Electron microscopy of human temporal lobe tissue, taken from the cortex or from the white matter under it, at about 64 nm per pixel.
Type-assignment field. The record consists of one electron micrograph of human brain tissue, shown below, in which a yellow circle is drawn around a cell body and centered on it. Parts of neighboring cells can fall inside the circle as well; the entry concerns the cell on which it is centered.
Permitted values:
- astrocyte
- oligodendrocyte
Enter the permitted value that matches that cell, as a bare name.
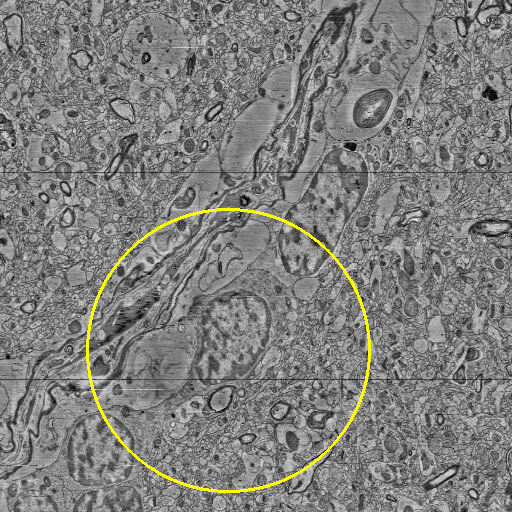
oligodendrocyte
